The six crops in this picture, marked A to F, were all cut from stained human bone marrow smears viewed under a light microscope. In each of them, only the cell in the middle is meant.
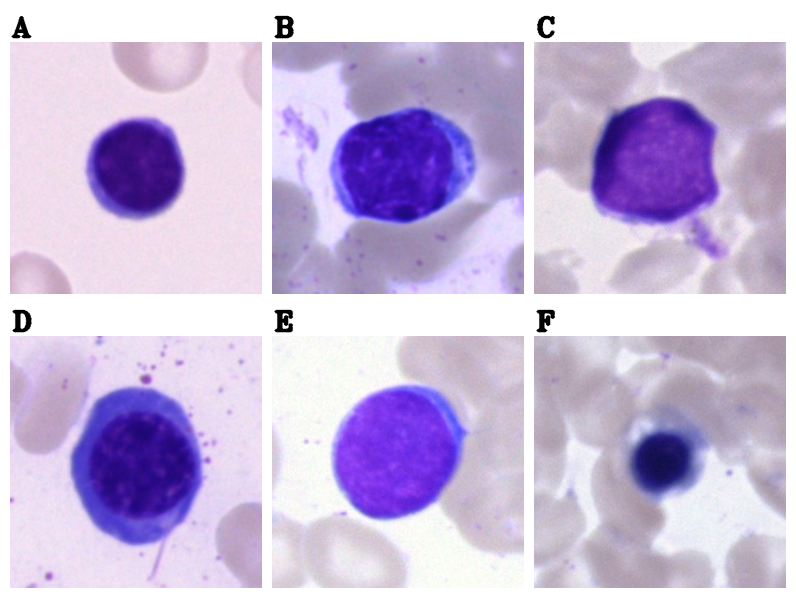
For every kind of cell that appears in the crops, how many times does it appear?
lymphocyte: 2
blast: 2
erythroblast: 2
